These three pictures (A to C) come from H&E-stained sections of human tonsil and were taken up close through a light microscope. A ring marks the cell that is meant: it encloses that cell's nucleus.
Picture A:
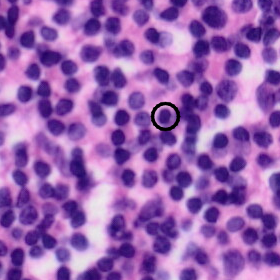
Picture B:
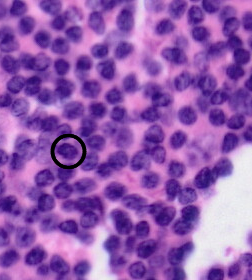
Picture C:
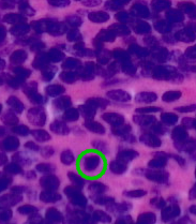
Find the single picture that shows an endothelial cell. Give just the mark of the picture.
C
